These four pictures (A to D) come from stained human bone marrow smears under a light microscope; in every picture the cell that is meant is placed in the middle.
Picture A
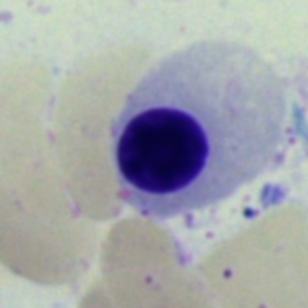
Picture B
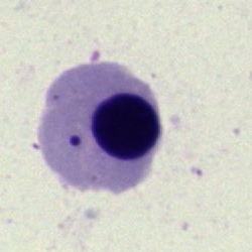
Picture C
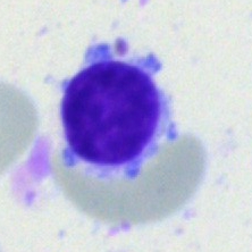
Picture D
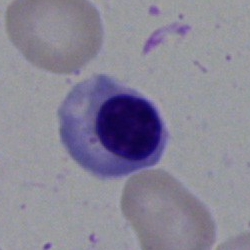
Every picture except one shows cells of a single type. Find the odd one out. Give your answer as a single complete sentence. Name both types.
Unlike the rest, which show erythroblasts, picture C shows a lymphocyte.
